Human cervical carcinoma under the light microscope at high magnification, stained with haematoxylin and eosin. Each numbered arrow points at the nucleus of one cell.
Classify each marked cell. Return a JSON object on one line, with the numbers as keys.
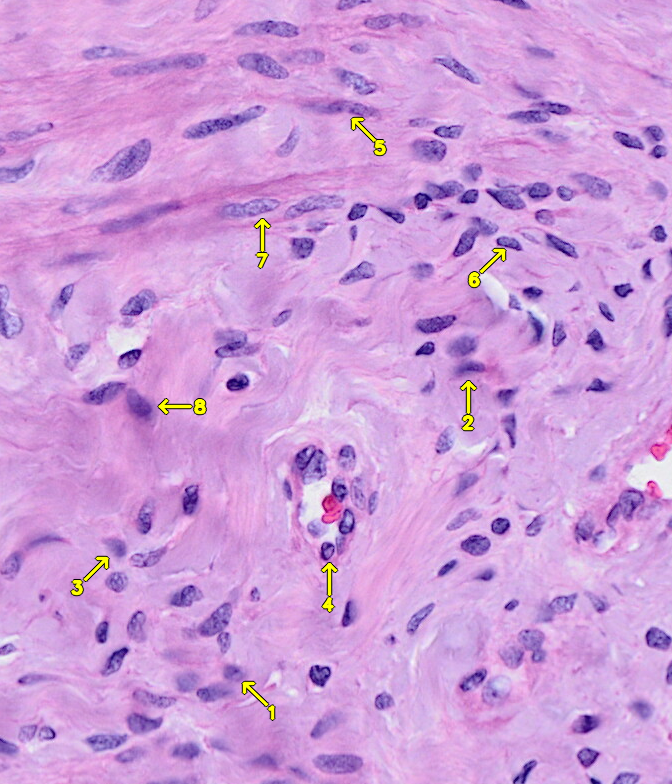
{"1": "fibroblast", "2": "fibroblast", "3": "fibroblast", "4": "endothelial cell", "5": "smooth muscle cell", "6": "fibroblast", "7": "smooth muscle cell", "8": "fibroblast"}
